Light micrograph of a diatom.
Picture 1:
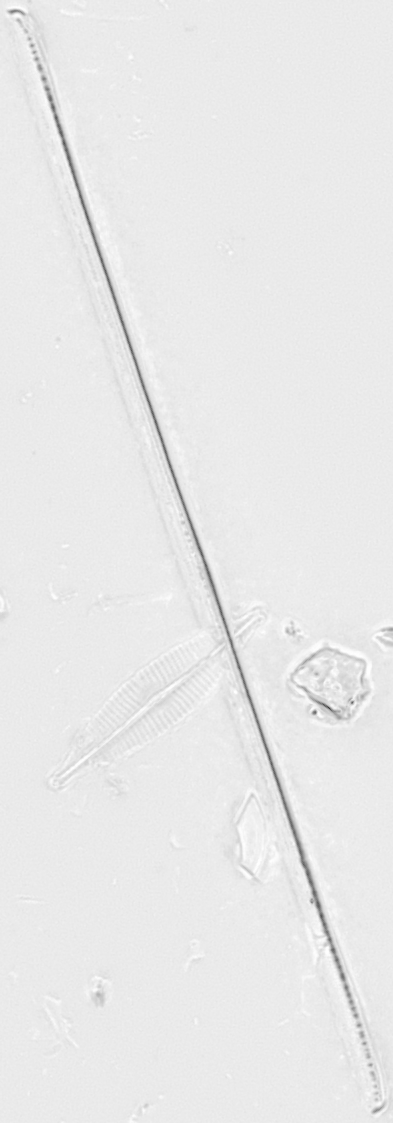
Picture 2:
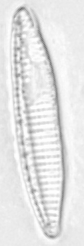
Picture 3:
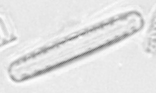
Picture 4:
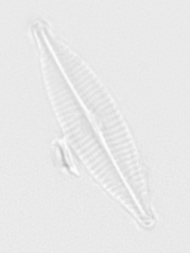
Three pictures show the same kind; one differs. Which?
Picture 4: Navicula, while the others are Nitzschia.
